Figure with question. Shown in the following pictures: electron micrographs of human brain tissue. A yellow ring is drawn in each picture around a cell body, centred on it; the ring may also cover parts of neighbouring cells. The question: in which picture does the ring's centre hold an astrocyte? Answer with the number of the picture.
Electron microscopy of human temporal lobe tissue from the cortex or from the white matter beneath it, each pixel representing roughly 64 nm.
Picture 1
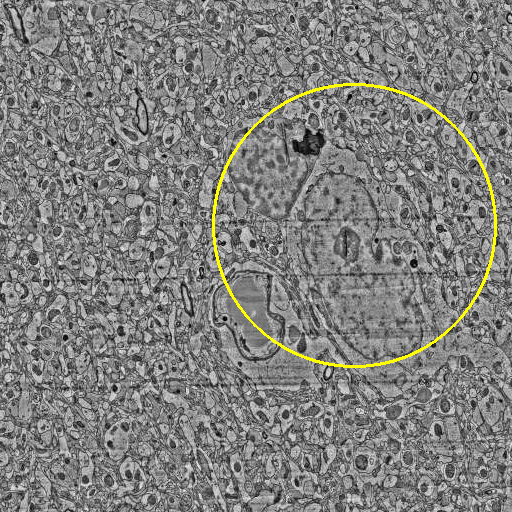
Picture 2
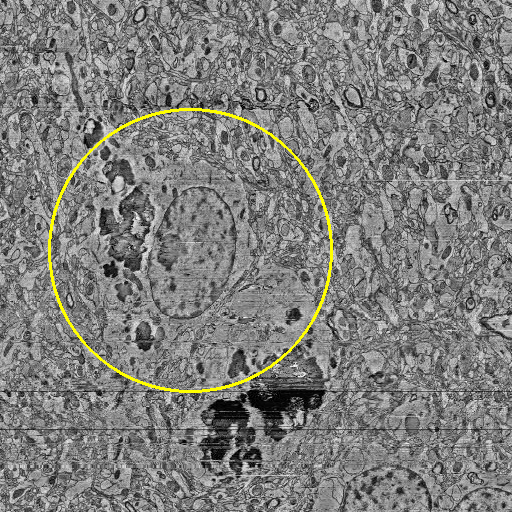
2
